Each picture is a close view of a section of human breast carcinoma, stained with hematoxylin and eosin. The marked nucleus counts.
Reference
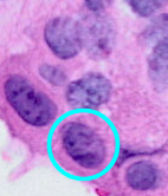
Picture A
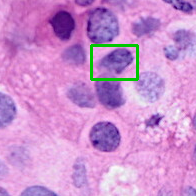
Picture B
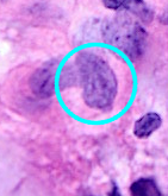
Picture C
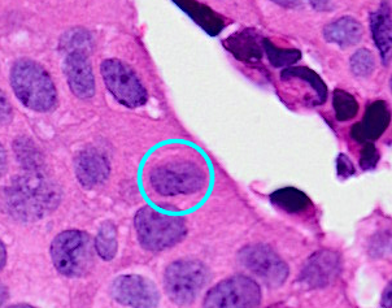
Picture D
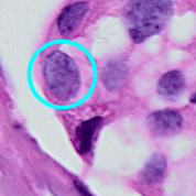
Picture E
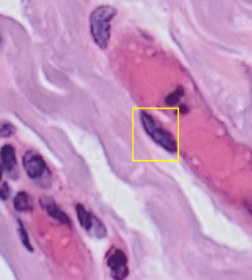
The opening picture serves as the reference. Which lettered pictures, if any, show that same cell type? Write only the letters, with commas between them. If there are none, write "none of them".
A, B, C, D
